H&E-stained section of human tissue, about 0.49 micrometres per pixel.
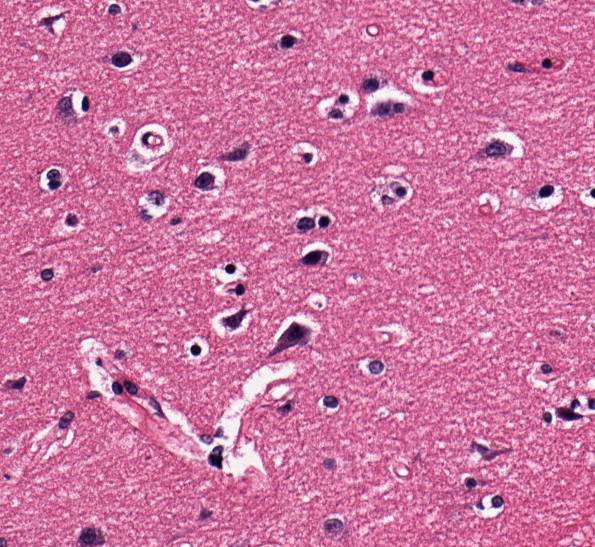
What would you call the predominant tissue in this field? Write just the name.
cerebral cortex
